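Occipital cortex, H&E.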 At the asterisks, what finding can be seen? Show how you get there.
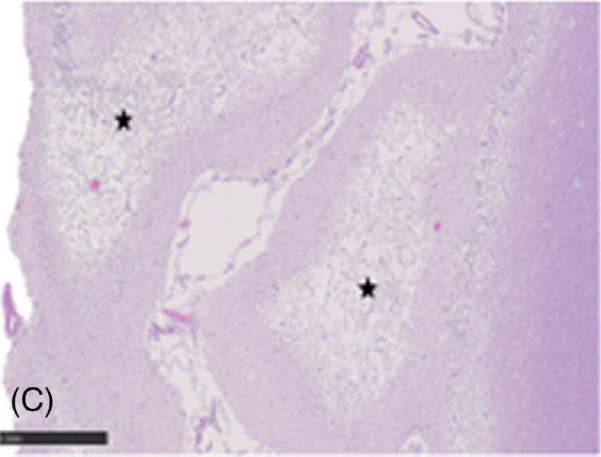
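Cortical spongiosis and necrosis. The asterisks lie in pale, rarefied areas within the cortex. These areas look loose and vacuolated compared with the denser pink tissue around them.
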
